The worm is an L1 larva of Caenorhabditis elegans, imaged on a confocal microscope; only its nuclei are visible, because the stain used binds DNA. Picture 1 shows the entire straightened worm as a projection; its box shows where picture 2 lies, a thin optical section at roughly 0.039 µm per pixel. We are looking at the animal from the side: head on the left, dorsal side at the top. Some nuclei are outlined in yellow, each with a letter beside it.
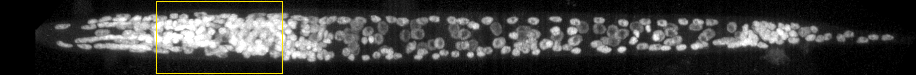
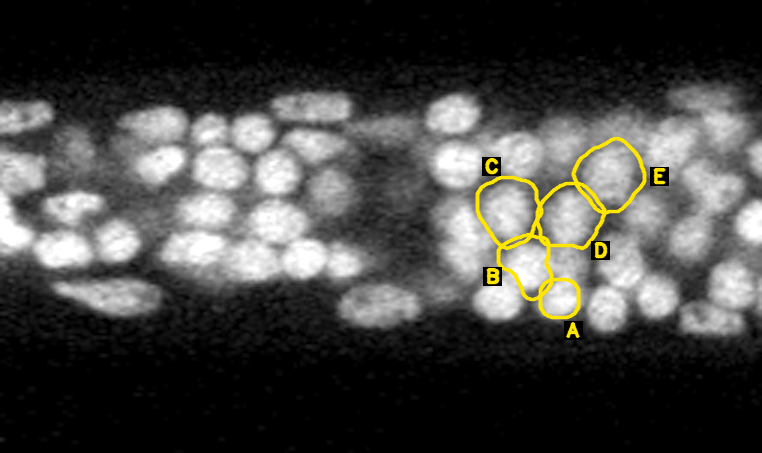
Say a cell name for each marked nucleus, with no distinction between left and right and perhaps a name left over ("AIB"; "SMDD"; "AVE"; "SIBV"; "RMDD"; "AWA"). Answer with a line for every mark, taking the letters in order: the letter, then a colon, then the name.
A: SMDD
B: SIBV
C: AVE
D: AIB
E: AWA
